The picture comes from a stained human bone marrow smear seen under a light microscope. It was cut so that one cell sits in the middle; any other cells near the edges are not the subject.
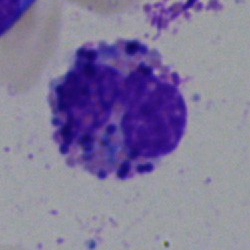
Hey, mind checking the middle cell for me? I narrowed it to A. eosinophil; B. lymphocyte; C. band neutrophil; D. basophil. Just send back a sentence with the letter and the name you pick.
The central cell in this crop is a basophil, corresponding to option D, the correct option.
